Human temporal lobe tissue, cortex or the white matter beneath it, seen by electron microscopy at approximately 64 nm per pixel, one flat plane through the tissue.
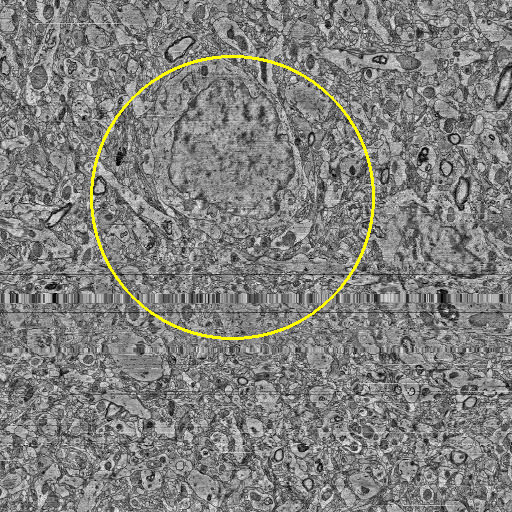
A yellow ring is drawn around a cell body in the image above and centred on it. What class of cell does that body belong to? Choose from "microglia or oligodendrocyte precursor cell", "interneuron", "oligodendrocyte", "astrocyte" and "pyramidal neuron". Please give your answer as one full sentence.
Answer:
The yellow ring above is centred on the cell body of an interneuron.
